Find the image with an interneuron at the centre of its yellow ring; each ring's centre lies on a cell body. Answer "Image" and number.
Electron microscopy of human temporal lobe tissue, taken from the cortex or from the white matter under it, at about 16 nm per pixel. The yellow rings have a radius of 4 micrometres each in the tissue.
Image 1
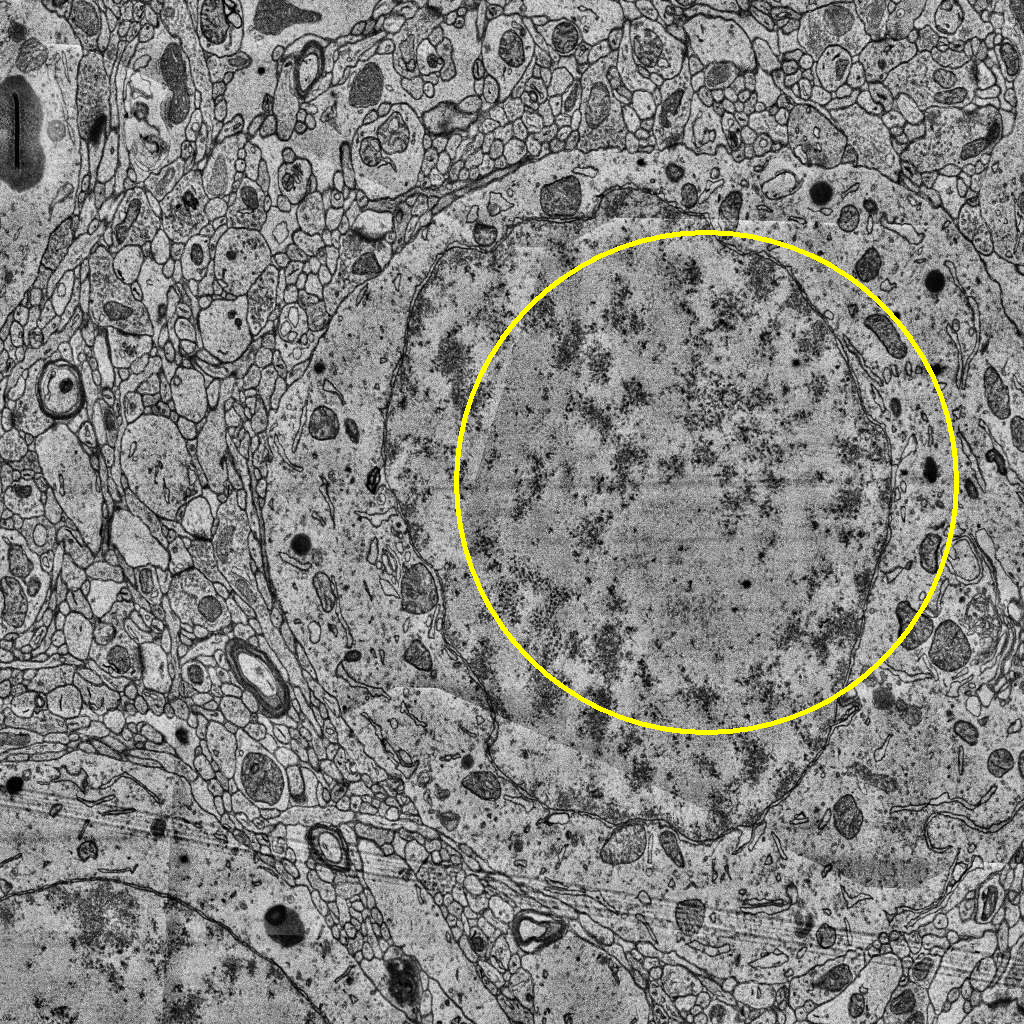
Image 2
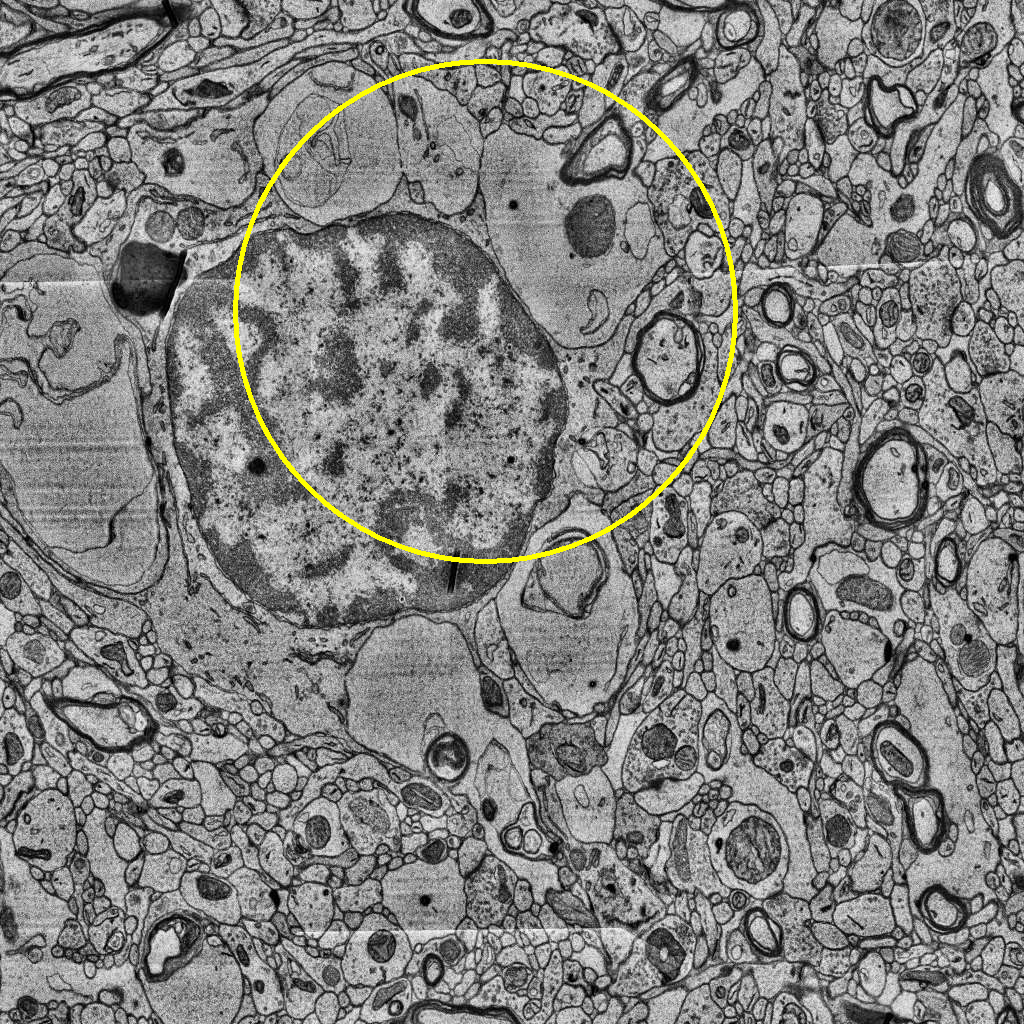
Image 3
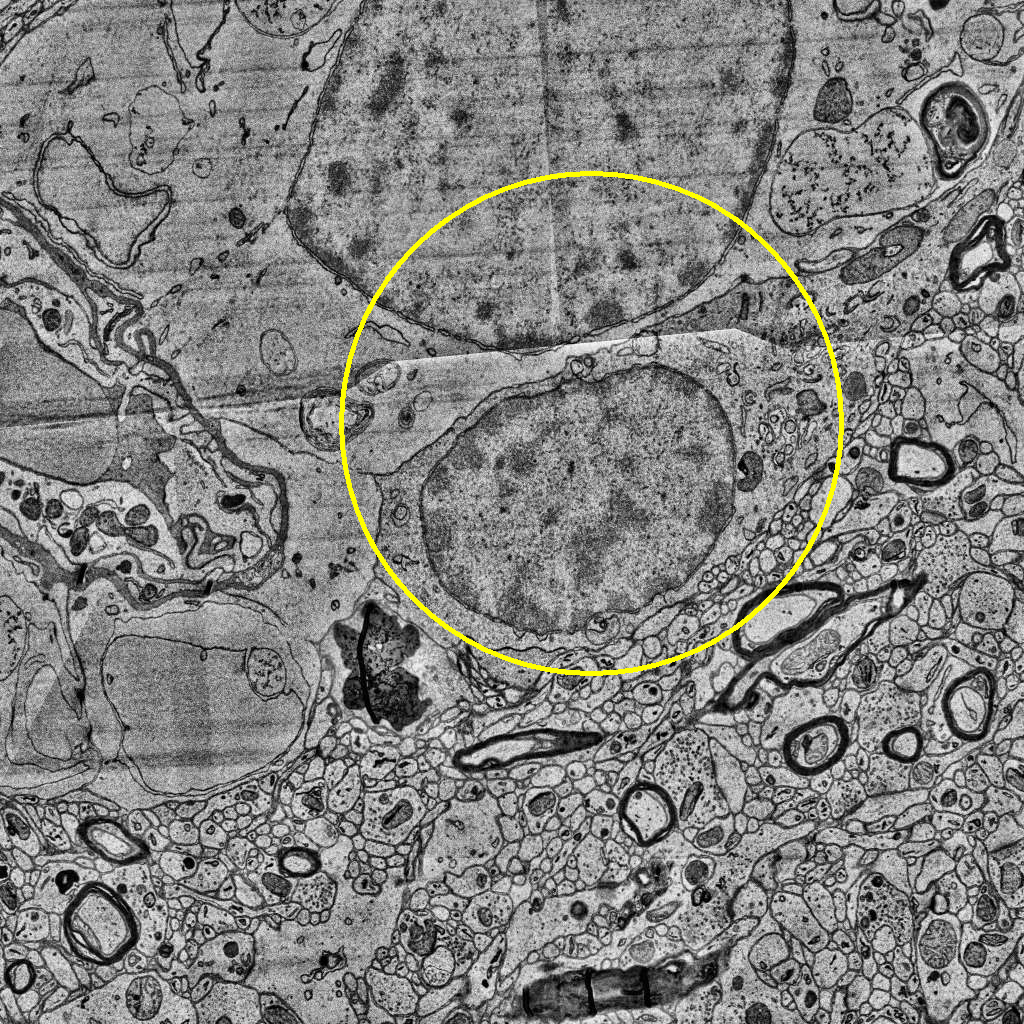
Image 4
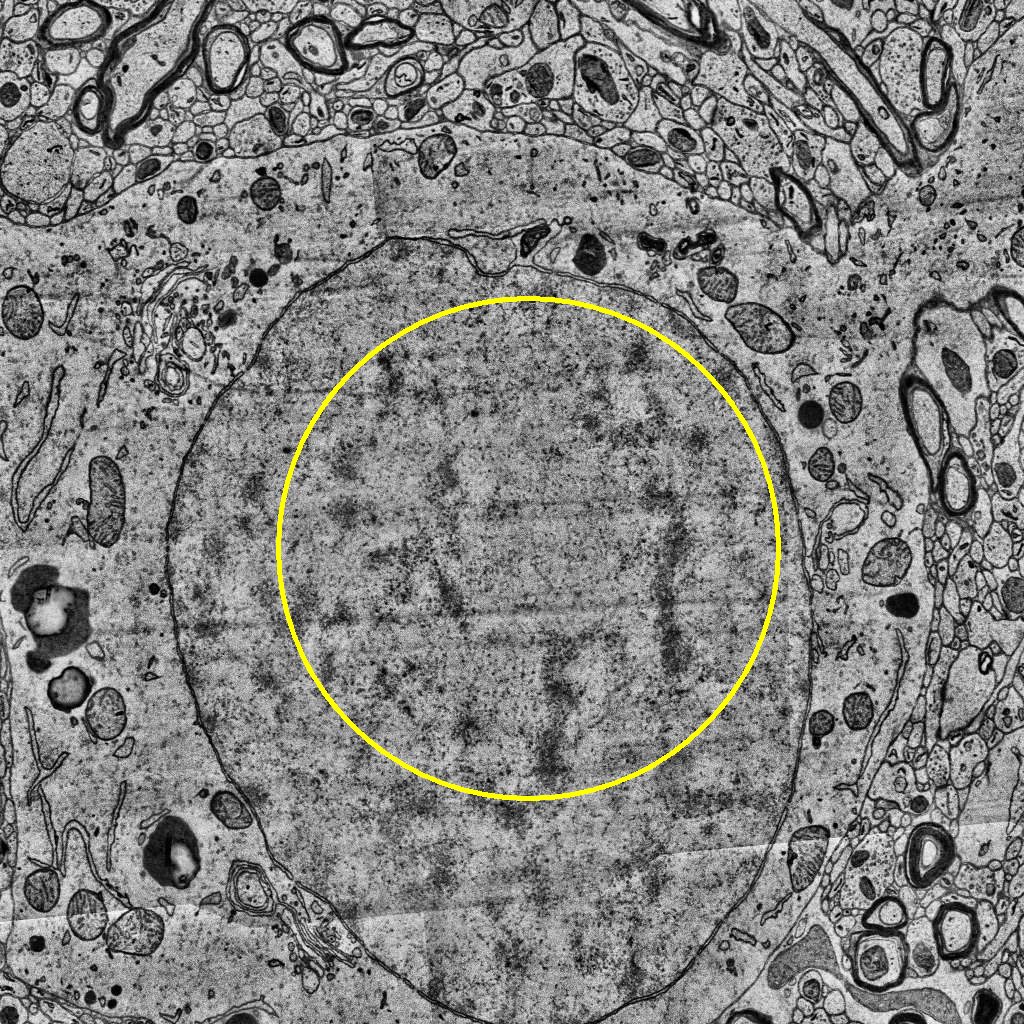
Image 1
